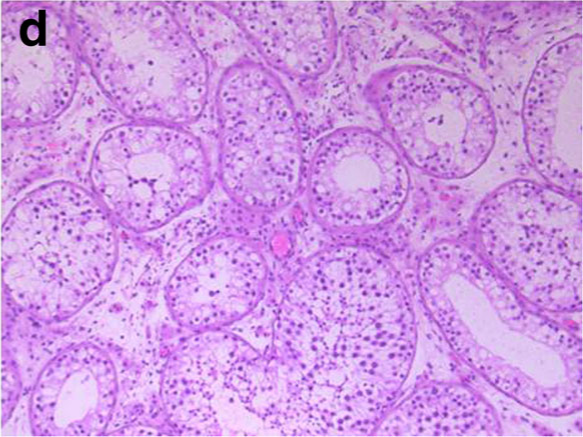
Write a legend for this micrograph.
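This is testis with seminiferous tubules in which spermatogenesis is under way. The tubules are round to oval, closely set, and each has a thin pink wall. Inside, several layers of cells fill the tubule from the wall towards the lumen, many with pale, clear cytoplasm and round nuclei. Loose, pale stroma fills the narrow spaces between the tubules.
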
